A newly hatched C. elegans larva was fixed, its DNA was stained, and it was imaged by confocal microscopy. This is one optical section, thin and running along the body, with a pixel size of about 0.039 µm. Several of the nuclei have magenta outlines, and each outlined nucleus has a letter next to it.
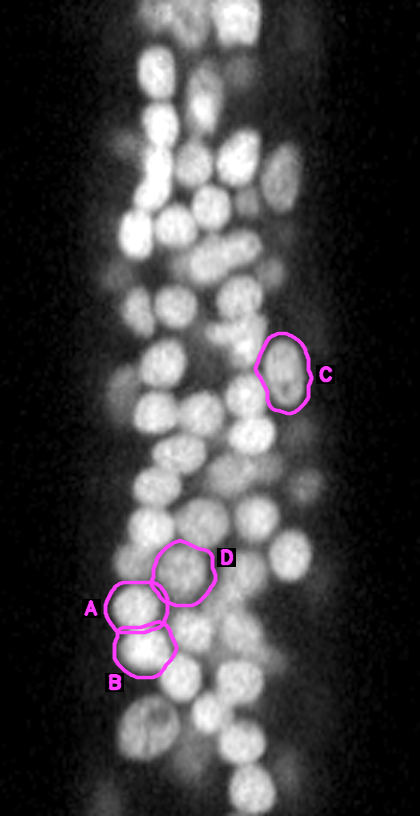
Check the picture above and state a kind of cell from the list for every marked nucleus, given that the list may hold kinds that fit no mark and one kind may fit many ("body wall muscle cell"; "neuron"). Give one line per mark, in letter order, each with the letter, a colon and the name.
A: neuron
B: neuron
C: body wall muscle cell
D: neuron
